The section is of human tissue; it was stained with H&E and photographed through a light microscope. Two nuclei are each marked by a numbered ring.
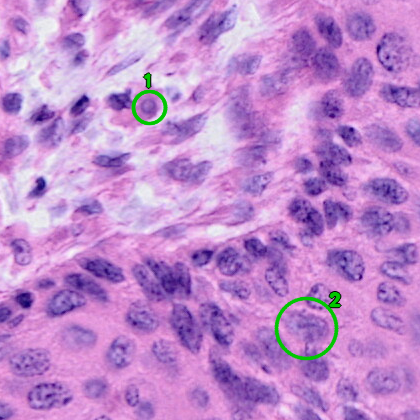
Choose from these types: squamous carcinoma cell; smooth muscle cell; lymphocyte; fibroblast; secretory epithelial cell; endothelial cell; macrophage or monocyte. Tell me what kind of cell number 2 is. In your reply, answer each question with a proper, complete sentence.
The cell to which the number 2 is assigned is a squamous carcinoma cell.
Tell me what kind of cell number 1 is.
Numbered cell 1 is a macrophage or monocyte in this tissue section.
